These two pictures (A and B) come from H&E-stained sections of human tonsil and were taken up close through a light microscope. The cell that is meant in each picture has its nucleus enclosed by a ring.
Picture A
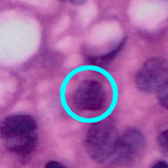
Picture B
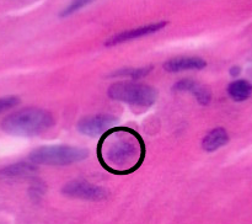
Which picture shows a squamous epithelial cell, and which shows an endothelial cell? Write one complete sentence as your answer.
It is picture A that shows a squamous epithelial cell, and picture B that shows an endothelial cell.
